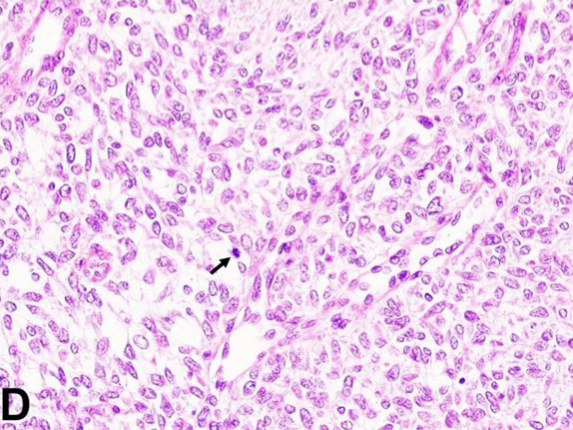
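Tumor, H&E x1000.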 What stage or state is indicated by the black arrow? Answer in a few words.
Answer: Mitotic activity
